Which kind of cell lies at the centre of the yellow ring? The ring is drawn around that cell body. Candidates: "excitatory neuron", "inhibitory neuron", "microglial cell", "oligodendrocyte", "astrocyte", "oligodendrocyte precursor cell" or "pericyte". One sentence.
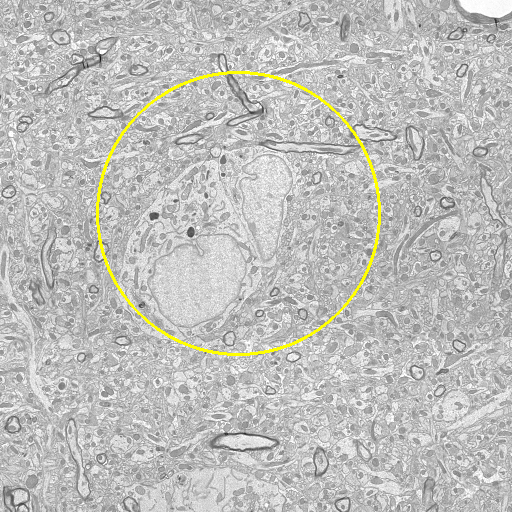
Lying at the centre of the ring is an oligodendrocyte precursor cell.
